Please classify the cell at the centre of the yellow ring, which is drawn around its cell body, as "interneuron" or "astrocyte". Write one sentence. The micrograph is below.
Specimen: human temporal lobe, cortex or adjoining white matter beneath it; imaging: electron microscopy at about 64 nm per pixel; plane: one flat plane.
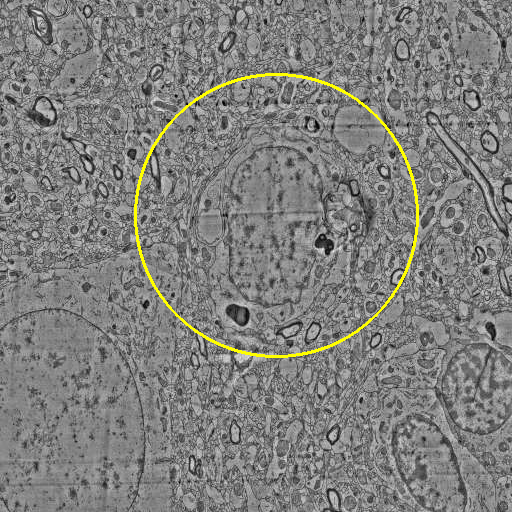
The cell at the ring's centre is classified as an interneuron.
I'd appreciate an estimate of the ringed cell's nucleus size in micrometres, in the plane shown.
Approximately 10 micrometres long and 7 micrometres wide, in this plane.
